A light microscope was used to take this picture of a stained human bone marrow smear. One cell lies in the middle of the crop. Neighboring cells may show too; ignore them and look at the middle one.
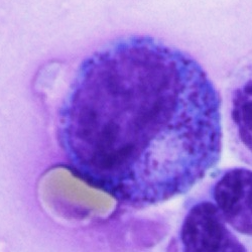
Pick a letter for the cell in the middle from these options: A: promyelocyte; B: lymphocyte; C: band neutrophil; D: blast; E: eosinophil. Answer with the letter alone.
A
